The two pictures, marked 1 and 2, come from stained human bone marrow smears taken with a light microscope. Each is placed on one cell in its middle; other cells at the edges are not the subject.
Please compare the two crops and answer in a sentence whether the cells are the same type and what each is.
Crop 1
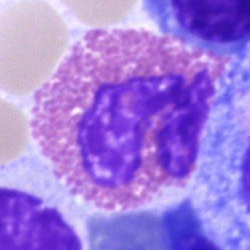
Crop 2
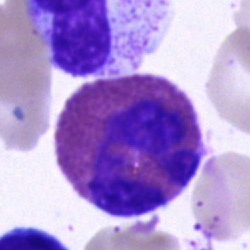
Yes, both crops show eosinophils, one in each.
